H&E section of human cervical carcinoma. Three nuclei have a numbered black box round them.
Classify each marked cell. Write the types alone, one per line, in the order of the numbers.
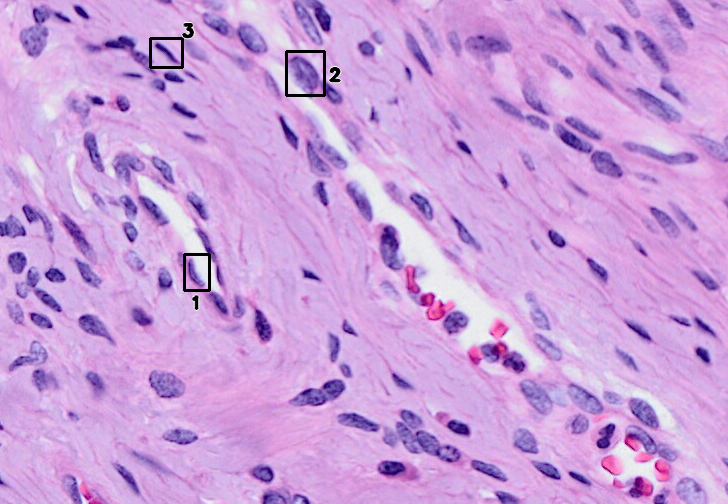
endothelial cell
endothelial cell
fibroblast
